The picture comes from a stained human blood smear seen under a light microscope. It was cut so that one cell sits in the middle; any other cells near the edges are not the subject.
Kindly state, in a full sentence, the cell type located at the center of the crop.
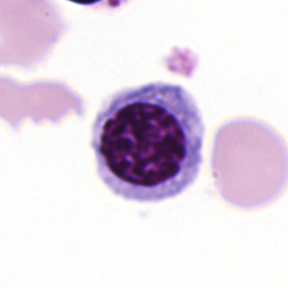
Regarding the central cell, it is a normoblast.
